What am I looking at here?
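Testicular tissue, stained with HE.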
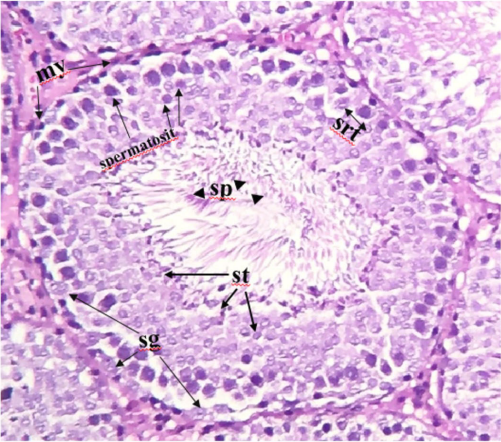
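A seminiferous tubule cut in cross section fills most of the view, its wall lined by many layers of germ cells. Along the thin outer wall lie small cells with dark flattened nuclei, and just inside them a row of small rounded cells with dark nuclei. The lumen is filled with pale, streaming tail-like filaments arranged in a band. Neighbouring tubules and narrow pink spaces between them are seen at the edges.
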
